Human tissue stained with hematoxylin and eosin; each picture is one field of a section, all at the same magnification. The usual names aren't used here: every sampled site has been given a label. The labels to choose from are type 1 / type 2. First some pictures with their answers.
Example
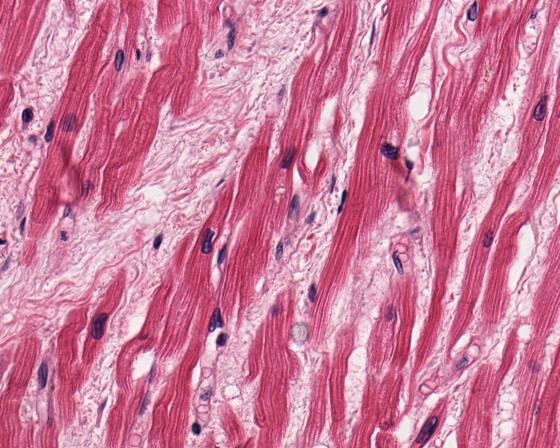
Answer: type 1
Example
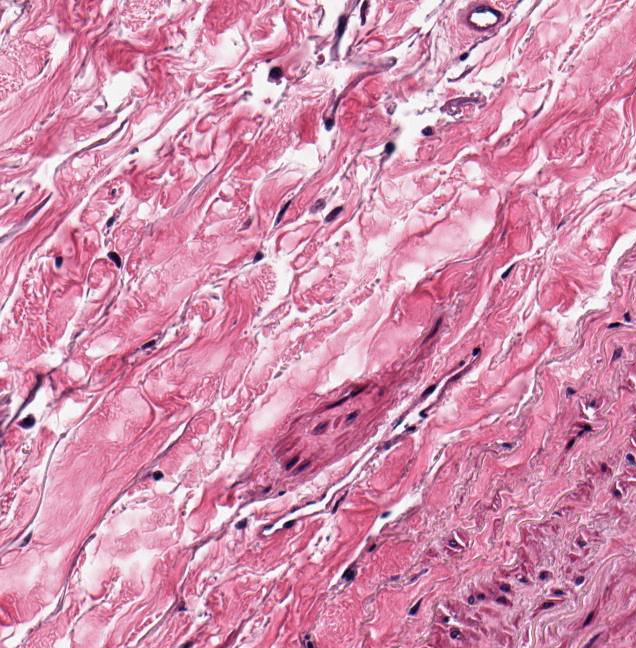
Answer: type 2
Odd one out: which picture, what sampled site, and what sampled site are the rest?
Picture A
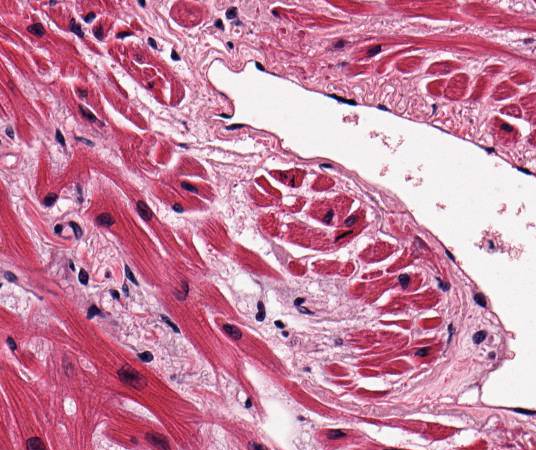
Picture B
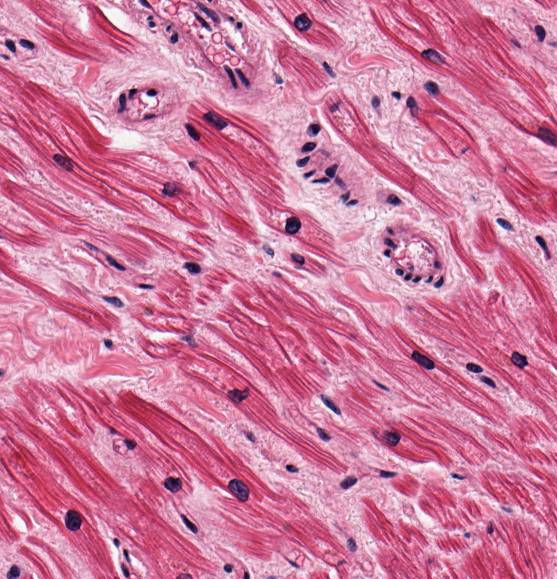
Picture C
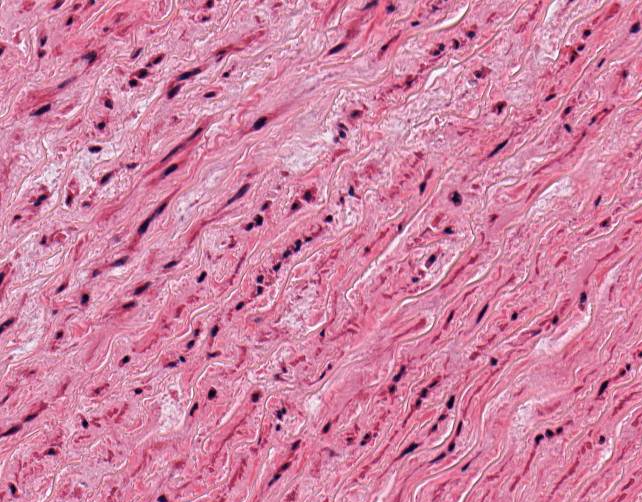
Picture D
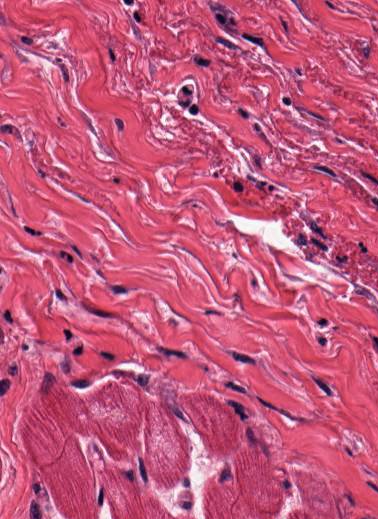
Different: C, type 2. Others: type 1.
